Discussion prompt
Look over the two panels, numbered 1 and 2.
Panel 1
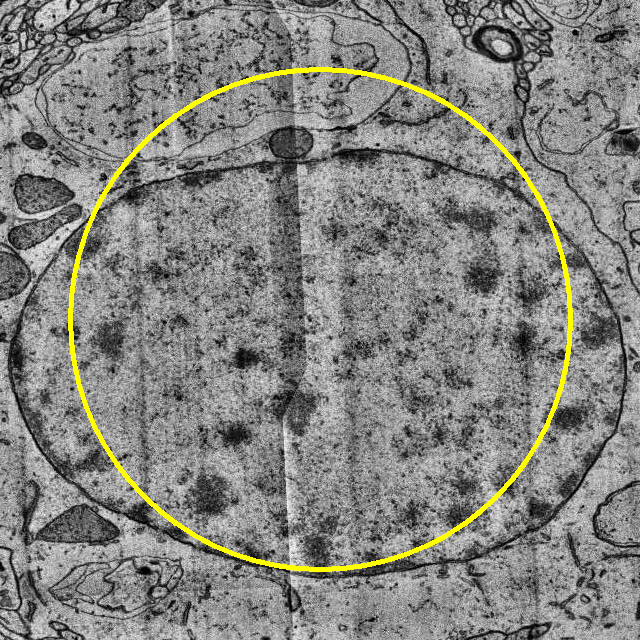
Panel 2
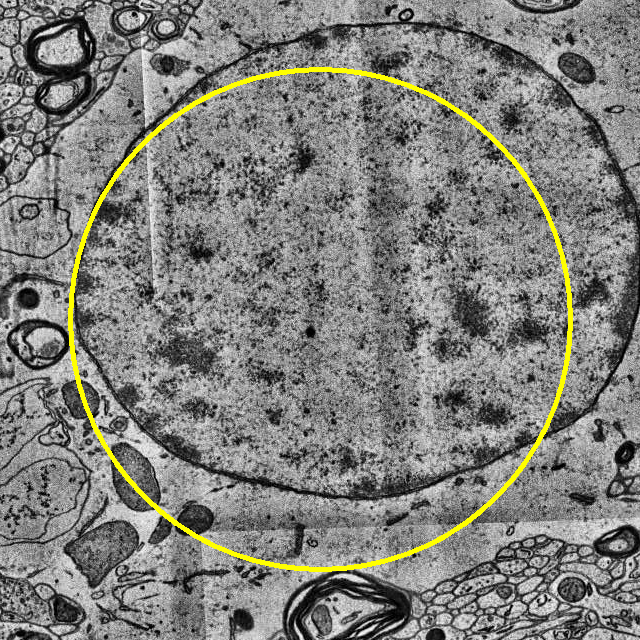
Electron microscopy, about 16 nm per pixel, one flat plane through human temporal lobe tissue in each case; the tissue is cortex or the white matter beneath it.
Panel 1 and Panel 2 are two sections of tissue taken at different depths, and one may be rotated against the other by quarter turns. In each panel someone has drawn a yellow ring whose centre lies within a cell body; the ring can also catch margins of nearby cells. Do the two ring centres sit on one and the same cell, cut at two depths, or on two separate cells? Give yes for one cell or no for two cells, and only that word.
no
